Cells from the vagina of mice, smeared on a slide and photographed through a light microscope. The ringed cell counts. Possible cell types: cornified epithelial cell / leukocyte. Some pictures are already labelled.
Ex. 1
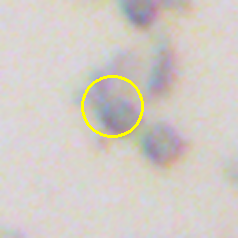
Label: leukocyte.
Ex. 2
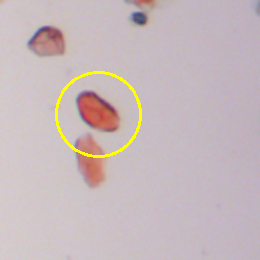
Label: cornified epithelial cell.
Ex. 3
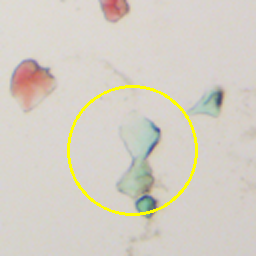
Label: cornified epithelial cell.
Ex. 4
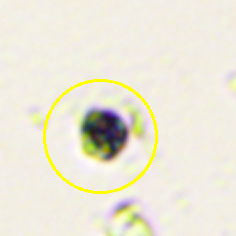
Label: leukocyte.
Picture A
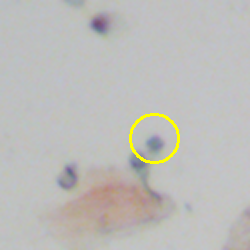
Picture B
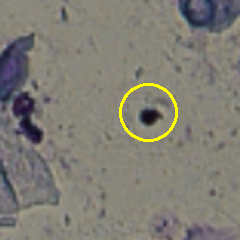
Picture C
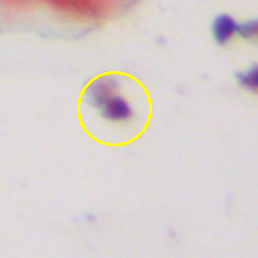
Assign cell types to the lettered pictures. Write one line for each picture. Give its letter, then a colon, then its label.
A: leukocyte.
B: leukocyte.
C: leukocyte.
